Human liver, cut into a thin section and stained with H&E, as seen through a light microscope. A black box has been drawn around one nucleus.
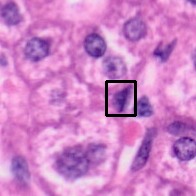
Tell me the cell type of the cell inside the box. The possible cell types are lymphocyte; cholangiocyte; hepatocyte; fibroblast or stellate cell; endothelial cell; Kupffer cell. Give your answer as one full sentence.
In cell-type terms, the cell inside the box is a fibroblast or stellate cell.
